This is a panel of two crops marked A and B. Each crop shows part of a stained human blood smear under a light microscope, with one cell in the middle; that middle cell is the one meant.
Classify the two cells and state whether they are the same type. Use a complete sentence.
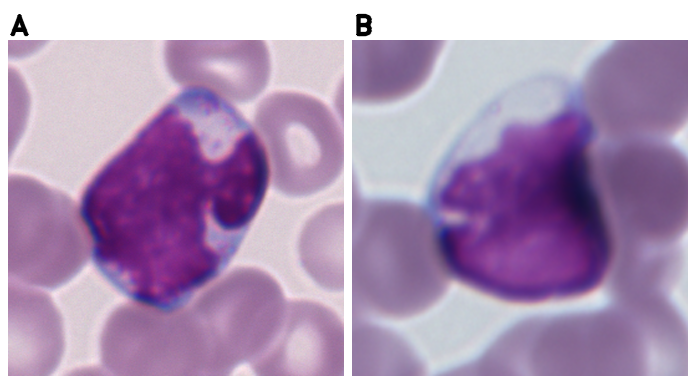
Yes, the cells found in the middle of both crops are large granular lymphocytes.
